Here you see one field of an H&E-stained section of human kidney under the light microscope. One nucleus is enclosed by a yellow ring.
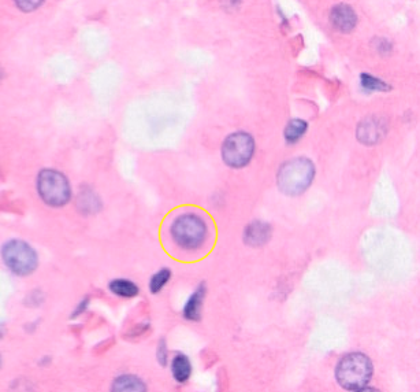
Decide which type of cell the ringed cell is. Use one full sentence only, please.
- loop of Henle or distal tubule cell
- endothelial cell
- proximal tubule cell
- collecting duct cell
Labelled by cell type, the ringed cell is a proximal tubule cell.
